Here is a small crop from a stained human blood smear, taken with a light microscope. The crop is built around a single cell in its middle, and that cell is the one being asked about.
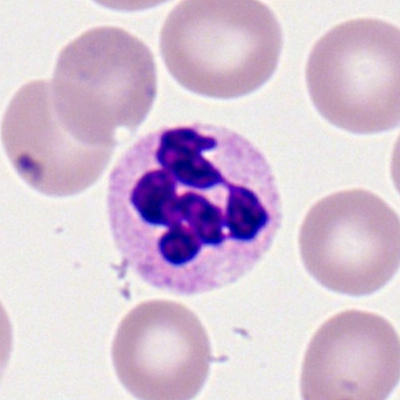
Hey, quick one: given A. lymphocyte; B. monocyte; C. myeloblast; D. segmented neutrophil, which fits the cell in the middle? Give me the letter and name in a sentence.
Since the cell in the centre is a segmented neutrophil, the correct option is D.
